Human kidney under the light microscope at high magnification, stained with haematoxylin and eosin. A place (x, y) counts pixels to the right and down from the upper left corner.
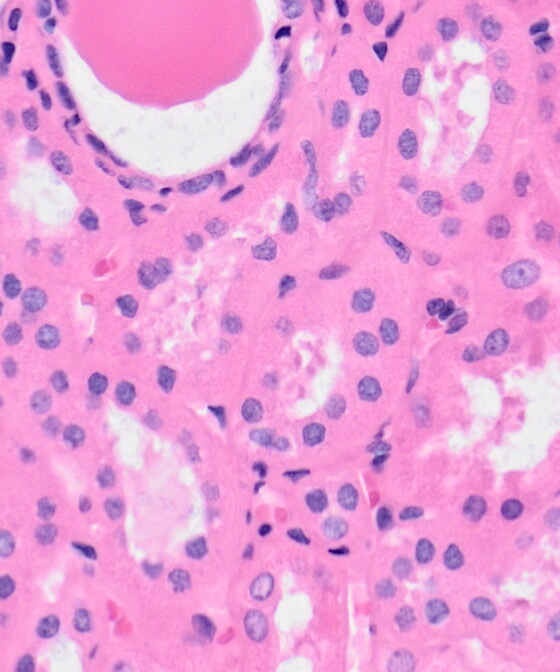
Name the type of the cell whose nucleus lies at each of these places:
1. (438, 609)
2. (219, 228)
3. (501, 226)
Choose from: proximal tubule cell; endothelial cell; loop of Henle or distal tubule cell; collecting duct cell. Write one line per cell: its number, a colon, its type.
1: loop of Henle or distal tubule cell
2: loop of Henle or distal tubule cell
3: proximal tubule cell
